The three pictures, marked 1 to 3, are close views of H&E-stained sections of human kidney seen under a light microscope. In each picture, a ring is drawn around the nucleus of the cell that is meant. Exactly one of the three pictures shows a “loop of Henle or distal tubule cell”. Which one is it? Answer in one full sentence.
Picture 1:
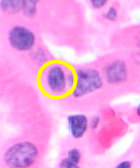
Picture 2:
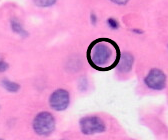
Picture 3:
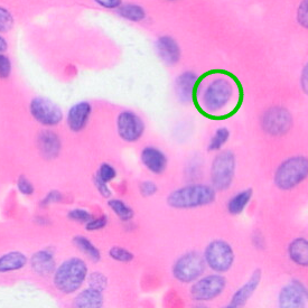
The picture with the “loop of Henle or distal tubule cell” is 2.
